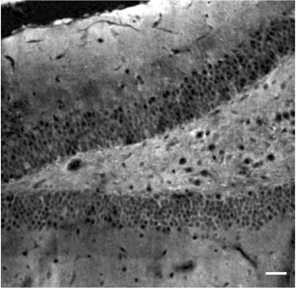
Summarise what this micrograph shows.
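Section of hippocampus at the dentate gyrus, with two bands of densely packed small neuronal nuclei. The lower band is a compact layer of small round dark nuclei; the upper band is similarly crowded. Between them lies a paler region with fewer, scattered cells. No bright labelled nuclei stand out.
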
